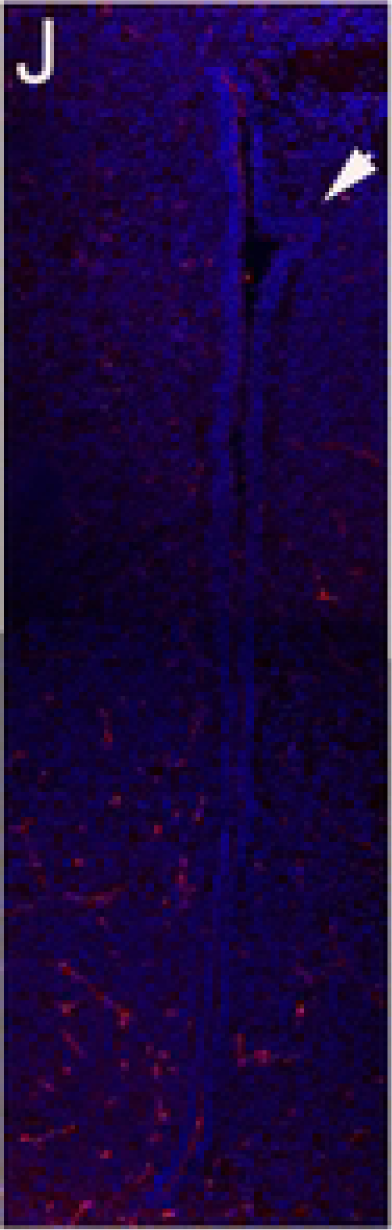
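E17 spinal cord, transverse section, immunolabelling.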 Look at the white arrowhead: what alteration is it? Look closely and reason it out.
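Unusual kinks. The central lumen near the top of the image departs from a straight line and bends where the arrowhead points.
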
